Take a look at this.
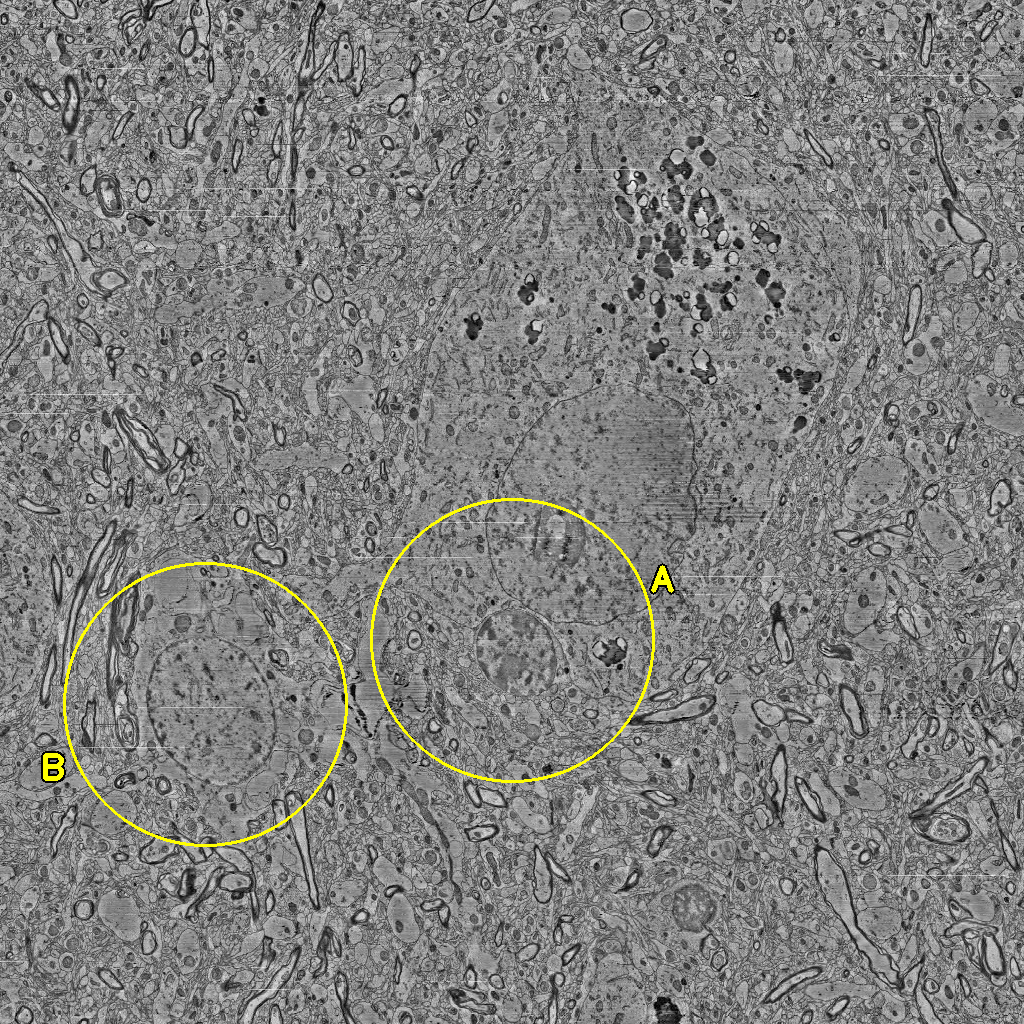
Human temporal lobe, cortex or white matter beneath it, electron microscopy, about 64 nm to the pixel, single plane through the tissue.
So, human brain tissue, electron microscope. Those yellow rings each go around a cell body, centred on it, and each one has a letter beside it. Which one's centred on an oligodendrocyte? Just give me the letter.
A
